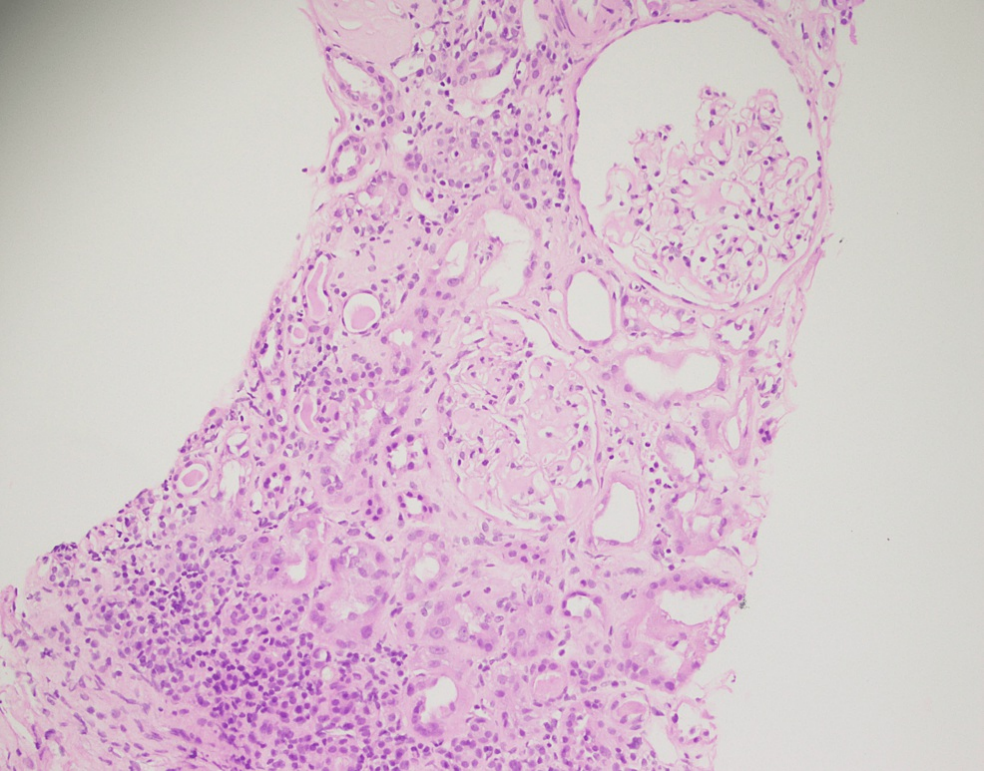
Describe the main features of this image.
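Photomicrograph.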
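This section of renal cortex shows tubules and two glomeruli set in a widened, pale pink interstitium with an inflammatory infiltrate. At the lower left, a dense sheet of small cells with dark round nuclei and scant cytoplasm lies between the tubules, and smaller groups of such cells are scattered elsewhere. The tubules vary in size. At the upper right, one glomerulus has a wide, empty Bowman's space around a lobulated tuft. A second glomerulus lies at the centre. Pale pink fibrous matrix separates the tubules.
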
